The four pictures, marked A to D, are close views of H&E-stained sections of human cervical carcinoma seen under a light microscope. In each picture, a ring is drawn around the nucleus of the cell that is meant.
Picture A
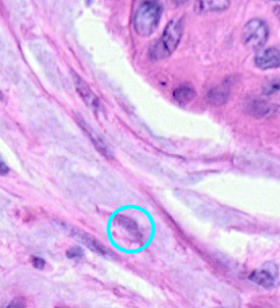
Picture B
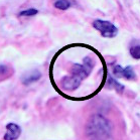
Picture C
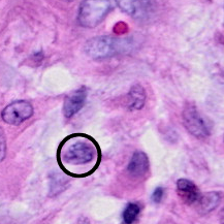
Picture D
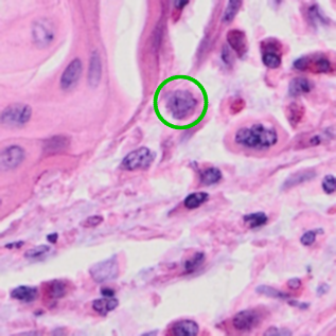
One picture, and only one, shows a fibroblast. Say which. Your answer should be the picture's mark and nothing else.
A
